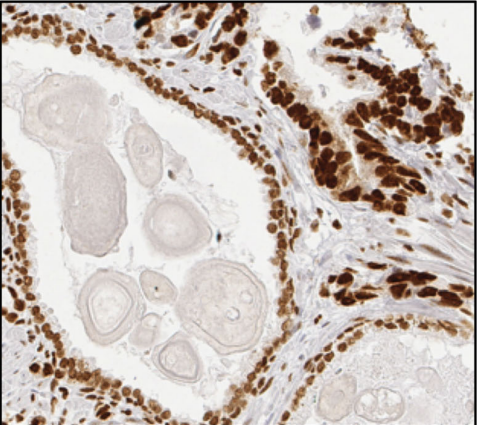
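On the left lies a large gland with a wide lumen holding several round, concentrically layered pink-grey concretions, lined by a thin, orderly row of brown-stained nuclei. To the upper right are small, irregular, crowded glands whose nuclei are larger, rounder and much more darkly brown, piled up with little cytoplasm between them. Pale fibrous stroma with scattered spindle-shaped nuclei separates the glands.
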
